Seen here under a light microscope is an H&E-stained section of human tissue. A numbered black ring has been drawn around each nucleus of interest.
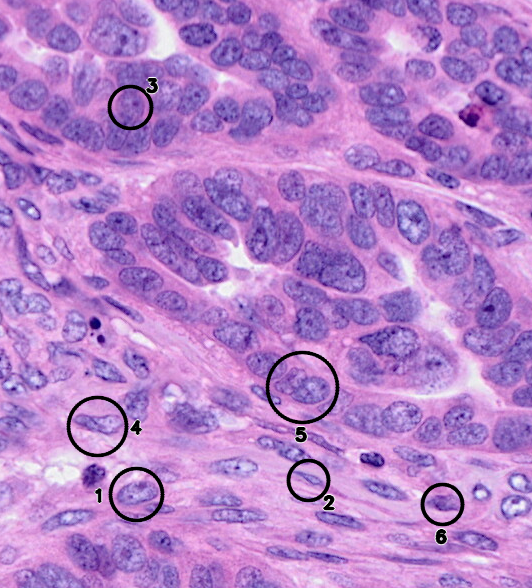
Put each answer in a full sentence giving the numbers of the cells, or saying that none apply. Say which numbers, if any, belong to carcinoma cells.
In terms of cell type, cells 3 and 5 are carcinoma cells.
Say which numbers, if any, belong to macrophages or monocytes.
Not one of the numbered cells belongs among the macrophages or monocytes.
